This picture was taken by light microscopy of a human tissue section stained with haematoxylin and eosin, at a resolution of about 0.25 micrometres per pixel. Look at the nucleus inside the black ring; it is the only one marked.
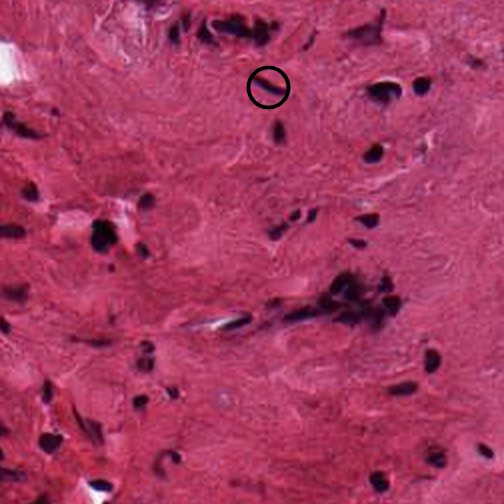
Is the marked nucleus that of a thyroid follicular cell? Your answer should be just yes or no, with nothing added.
no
